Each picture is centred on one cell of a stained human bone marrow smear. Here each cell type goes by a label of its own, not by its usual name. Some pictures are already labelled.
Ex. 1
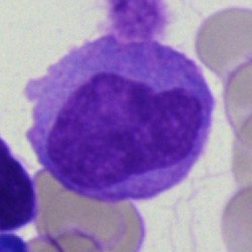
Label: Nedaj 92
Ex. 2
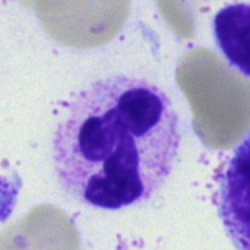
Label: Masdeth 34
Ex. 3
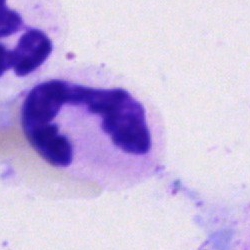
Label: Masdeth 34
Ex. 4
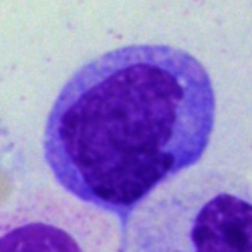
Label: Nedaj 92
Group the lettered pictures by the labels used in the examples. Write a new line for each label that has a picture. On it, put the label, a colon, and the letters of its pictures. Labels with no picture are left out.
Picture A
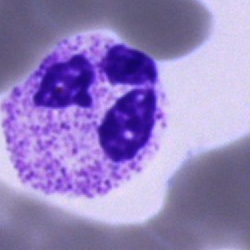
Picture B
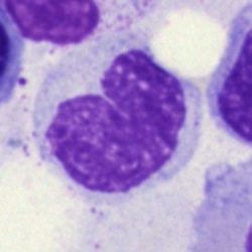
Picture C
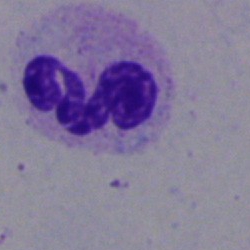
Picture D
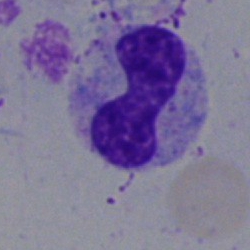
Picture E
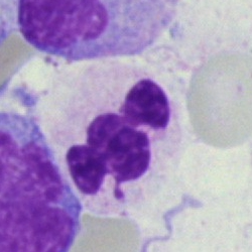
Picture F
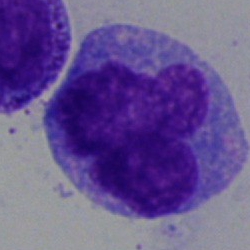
Nedaj 92: B, F
Masdeth 34: A, C, D, E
